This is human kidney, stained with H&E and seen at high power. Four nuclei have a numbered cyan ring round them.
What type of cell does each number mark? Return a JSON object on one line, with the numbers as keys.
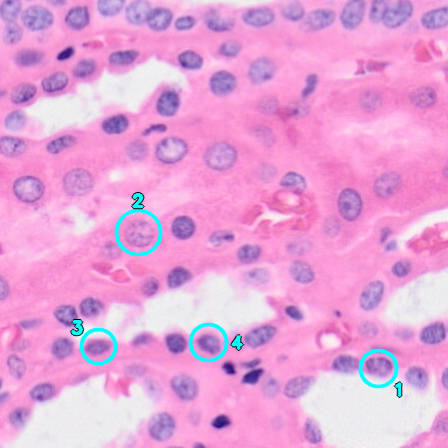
{"1": "loop of Henle or distal tubule cell", "2": "proximal tubule cell", "3": "loop of Henle or distal tubule cell", "4": "loop of Henle or distal tubule cell"}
